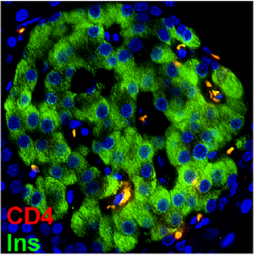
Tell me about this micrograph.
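A large, round pancreatic islet filled almost entirely with cells whose cytoplasm is bright green, each with a single round blue nucleus, packed closely in cords with a few dark gaps between them. Surrounding tissue outside the islet shows blue nuclei without green. The islet appears densely populated by beta cells with little immune cell infiltration.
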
